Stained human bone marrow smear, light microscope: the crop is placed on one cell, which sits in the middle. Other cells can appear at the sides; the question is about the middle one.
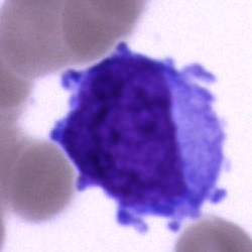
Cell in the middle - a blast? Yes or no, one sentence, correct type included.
Yes, the cell in the centre is a blast.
